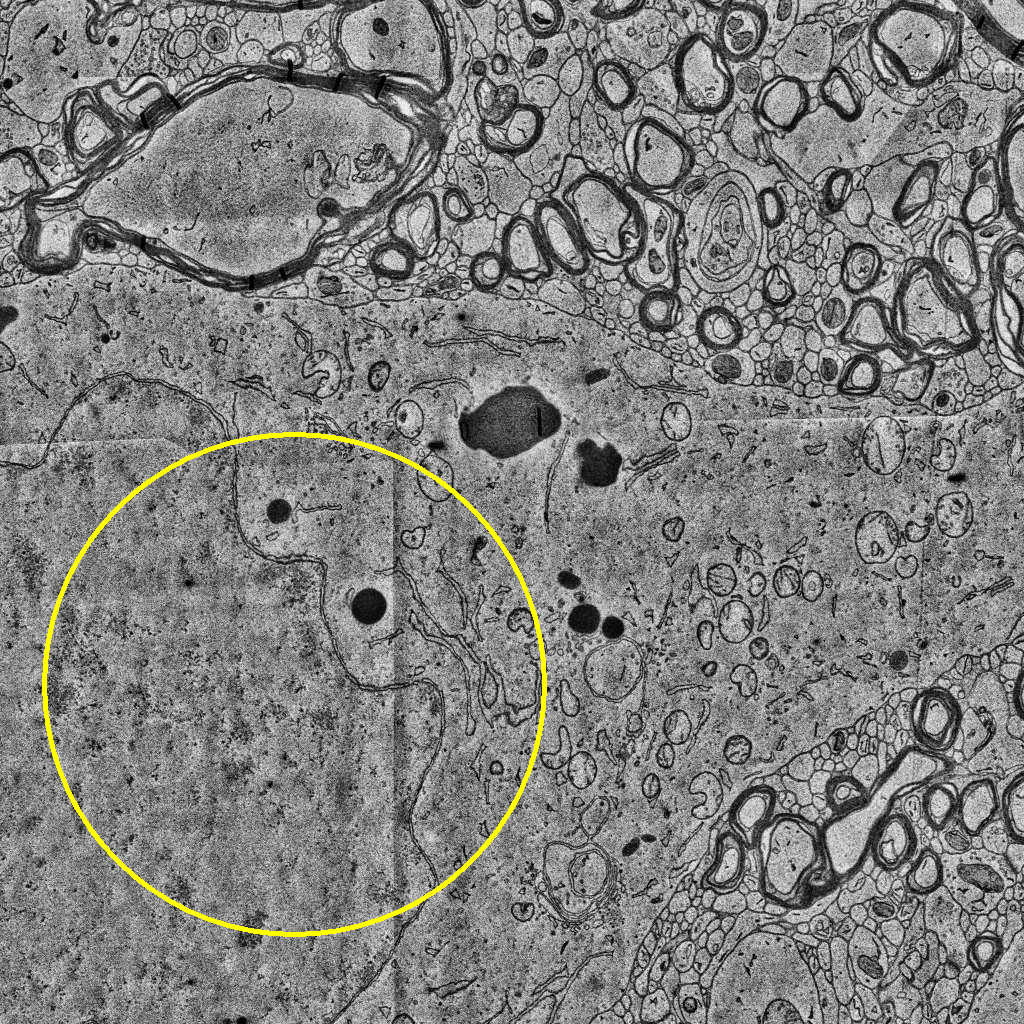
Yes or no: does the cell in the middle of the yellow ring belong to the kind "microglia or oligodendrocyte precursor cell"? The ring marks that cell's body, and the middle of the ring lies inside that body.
no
